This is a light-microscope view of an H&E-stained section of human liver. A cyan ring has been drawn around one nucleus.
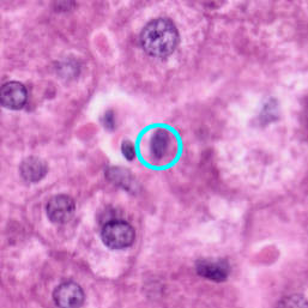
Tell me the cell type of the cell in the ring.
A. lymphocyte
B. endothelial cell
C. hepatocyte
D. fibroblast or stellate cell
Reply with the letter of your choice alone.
D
